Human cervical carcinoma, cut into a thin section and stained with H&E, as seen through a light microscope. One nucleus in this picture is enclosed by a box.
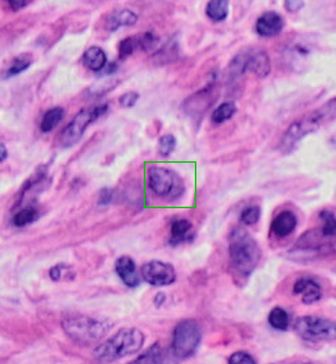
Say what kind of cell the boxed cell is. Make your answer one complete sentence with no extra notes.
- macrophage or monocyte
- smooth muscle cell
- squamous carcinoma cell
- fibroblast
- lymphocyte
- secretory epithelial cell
The cell type of the boxed cell is that of a macrophage or monocyte.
